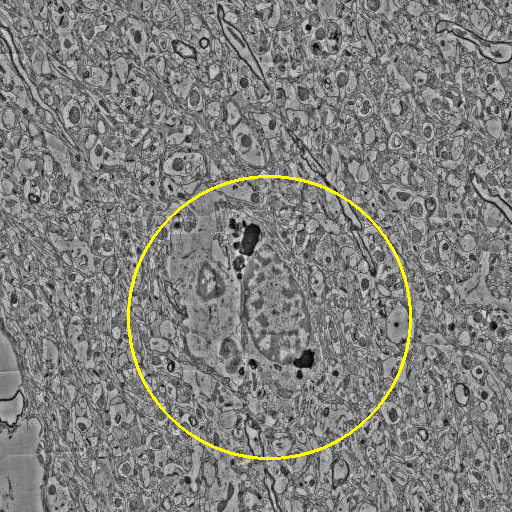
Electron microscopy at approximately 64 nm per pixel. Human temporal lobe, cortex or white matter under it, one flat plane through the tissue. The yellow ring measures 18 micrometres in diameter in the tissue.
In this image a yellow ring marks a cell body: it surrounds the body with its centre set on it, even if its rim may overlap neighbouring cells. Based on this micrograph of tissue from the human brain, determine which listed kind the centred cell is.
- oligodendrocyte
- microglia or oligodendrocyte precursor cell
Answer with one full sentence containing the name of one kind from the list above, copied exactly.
It is an oligodendrocyte whose body the yellow ring encloses at its centre.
